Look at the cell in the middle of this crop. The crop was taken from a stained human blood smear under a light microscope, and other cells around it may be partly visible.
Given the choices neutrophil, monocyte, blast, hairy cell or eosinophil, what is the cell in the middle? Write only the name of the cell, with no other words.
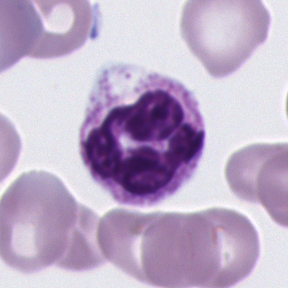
neutrophil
